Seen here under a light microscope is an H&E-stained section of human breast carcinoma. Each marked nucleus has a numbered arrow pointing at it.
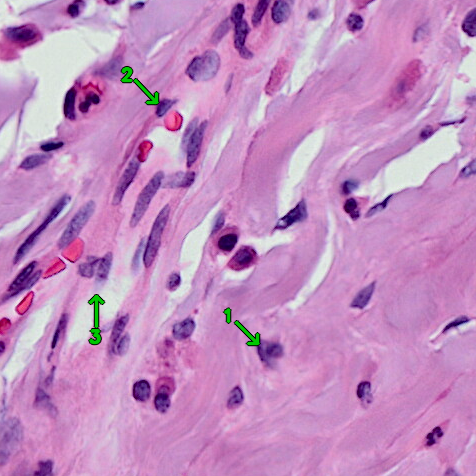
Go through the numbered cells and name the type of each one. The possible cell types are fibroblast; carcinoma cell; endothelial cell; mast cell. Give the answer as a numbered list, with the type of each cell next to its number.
1. fibroblast
2. endothelial cell
3. endothelial cell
